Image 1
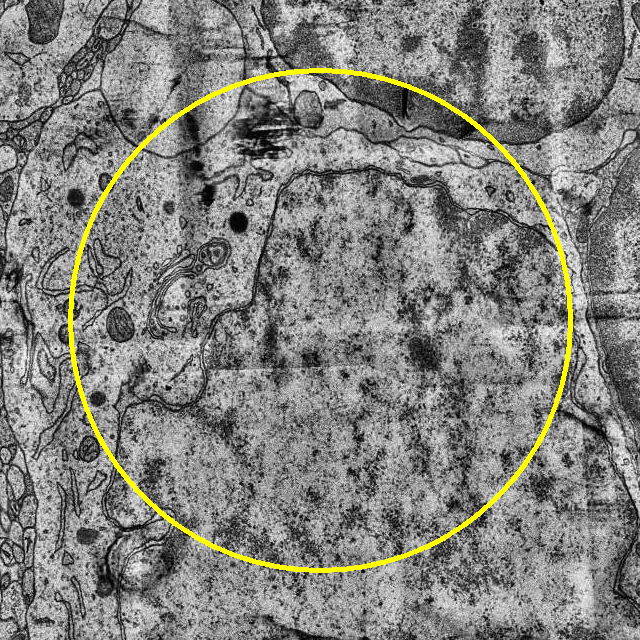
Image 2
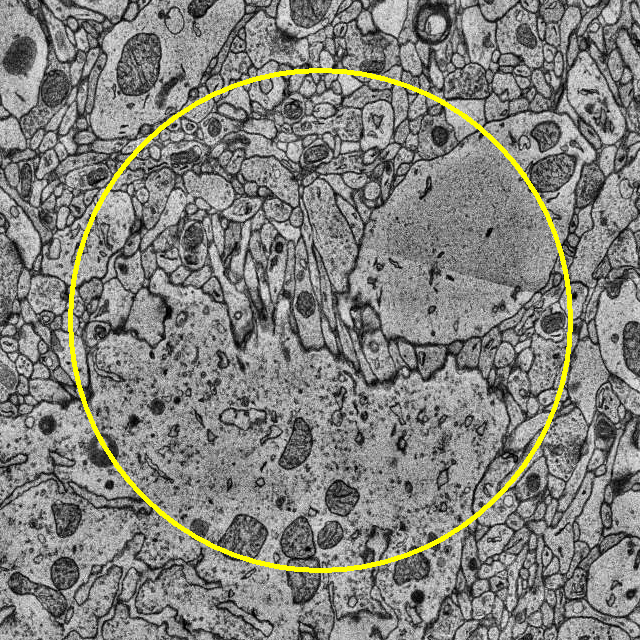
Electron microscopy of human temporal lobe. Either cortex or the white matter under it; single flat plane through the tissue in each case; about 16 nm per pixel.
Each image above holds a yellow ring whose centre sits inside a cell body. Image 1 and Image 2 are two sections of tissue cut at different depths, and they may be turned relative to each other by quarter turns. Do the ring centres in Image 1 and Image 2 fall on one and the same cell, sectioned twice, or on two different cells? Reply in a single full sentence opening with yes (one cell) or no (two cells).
No, the rings single out two cells that are separate from each other.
